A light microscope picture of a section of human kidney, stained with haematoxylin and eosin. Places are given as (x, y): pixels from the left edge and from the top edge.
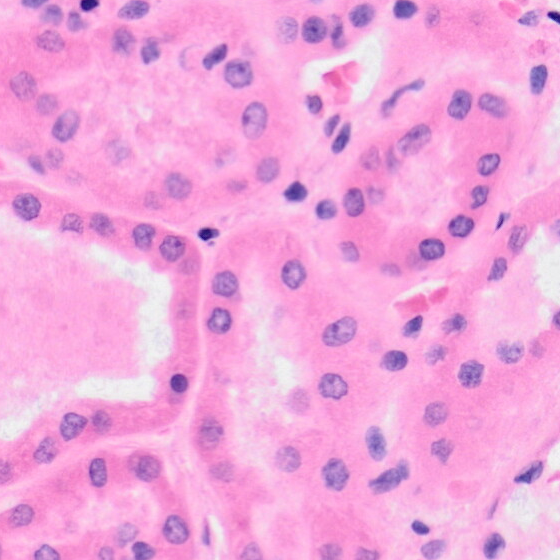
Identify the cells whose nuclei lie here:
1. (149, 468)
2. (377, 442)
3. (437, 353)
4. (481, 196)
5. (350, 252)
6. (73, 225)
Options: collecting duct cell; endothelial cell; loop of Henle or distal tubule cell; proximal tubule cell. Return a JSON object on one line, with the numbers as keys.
{"1": "proximal tubule cell", "2": "endothelial cell", "3": "loop of Henle or distal tubule cell", "4": "proximal tubule cell", "5": "proximal tubule cell", "6": "proximal tubule cell"}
